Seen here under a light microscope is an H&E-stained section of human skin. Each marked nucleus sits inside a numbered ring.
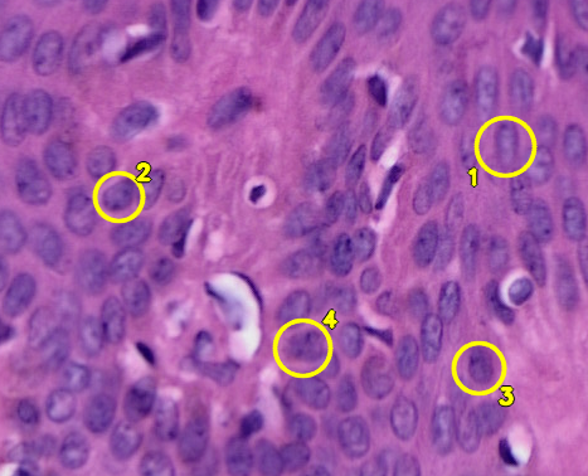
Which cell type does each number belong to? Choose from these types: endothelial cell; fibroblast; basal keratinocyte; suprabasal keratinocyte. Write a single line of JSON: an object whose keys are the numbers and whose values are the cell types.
{"1": "suprabasal keratinocyte", "2": "basal keratinocyte", "3": "basal keratinocyte", "4": "basal keratinocyte"}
